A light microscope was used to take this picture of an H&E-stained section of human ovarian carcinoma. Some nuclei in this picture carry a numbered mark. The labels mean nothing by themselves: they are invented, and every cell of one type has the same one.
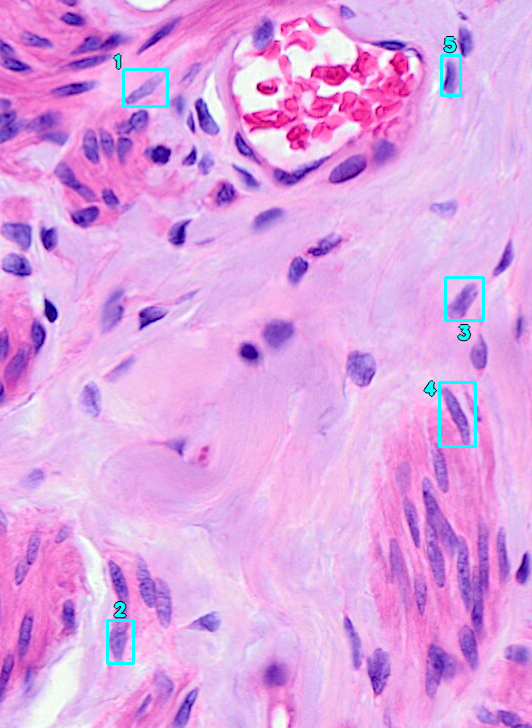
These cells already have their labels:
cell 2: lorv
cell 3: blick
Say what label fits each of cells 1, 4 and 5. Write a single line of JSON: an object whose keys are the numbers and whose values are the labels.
{"1": "lorv", "4": "lorv", "5": "blick"}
